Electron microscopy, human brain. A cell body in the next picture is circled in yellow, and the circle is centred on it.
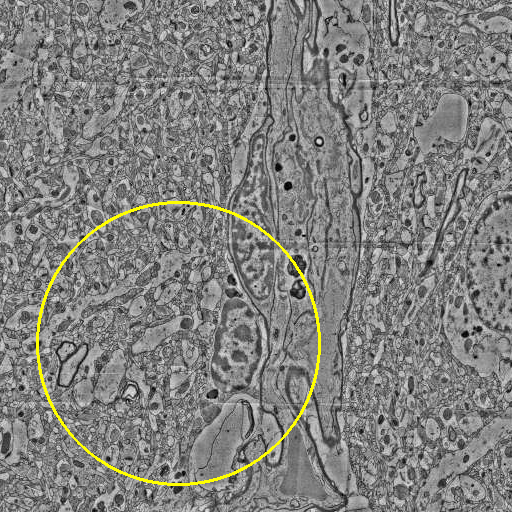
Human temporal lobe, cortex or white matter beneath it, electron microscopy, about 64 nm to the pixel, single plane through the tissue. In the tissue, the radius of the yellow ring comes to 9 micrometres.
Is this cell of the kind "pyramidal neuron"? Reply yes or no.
no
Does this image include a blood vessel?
Yes.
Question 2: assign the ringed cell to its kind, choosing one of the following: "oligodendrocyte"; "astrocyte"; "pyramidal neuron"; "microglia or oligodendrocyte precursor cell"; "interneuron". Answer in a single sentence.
The cell in question here is a microglial cell or oligodendrocyte precursor cell.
